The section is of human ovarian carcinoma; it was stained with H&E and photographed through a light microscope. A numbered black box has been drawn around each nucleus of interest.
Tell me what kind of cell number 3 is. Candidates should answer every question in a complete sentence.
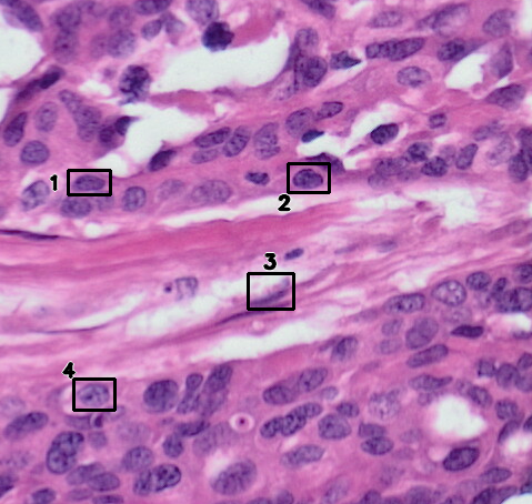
Within this field of view, the cell labelled 3 is a fibroblast.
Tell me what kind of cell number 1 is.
Denoted by the label 1 in the section is a carcinoma cell.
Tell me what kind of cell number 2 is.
Here, the cell given the number 2 is a macrophage or monocyte.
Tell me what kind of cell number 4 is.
The cell carrying label 4 is identified as a macrophage or monocyte.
